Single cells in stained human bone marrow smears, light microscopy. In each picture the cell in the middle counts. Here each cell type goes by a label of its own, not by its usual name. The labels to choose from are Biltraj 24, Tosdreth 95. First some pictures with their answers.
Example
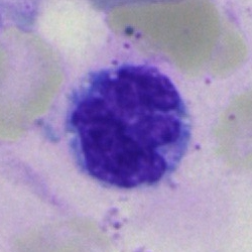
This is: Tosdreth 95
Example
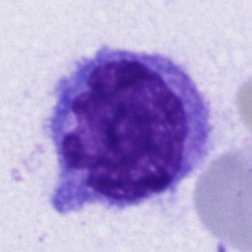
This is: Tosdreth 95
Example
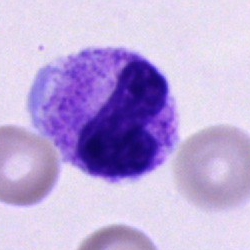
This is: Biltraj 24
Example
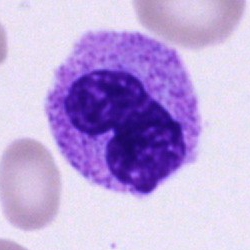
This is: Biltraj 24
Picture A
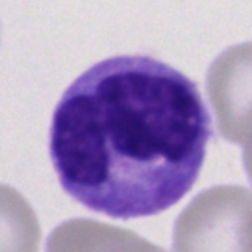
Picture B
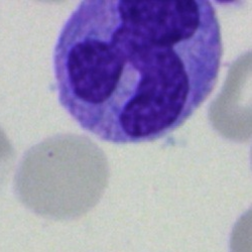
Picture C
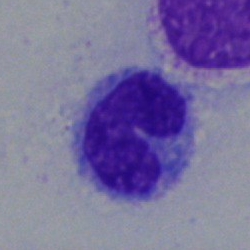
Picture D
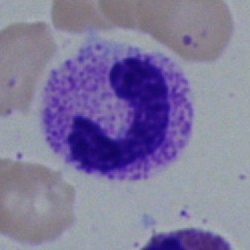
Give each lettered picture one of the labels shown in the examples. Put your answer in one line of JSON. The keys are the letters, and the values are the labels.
{"A": "Tosdreth 95", "B": "Tosdreth 95", "C": "Tosdreth 95", "D": "Biltraj 24"}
